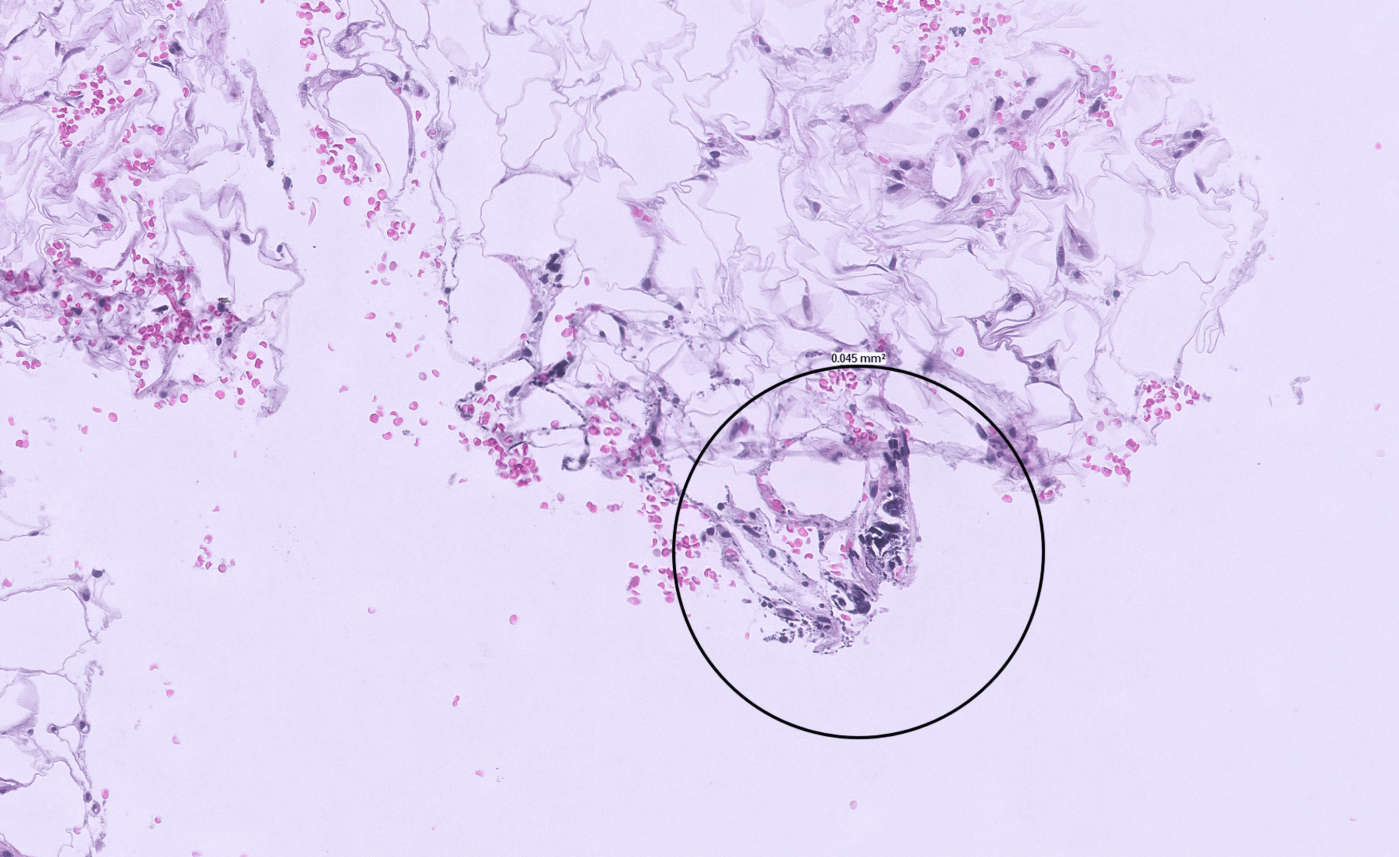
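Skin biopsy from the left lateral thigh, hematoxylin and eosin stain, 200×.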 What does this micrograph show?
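Small dark, flattened nuclei sit sparsely along these septa. Scattered bright red blood cells lie in small clusters among the septa and loose across the slide. Within the circled area, at the torn lower edge of the tissue, there are coarse, clumped, dark purple deposits with a granular, fragmented look, quite unlike the delicate septa nearby. Around them the fat looks largely ordinary, with few inflammatory cells.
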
